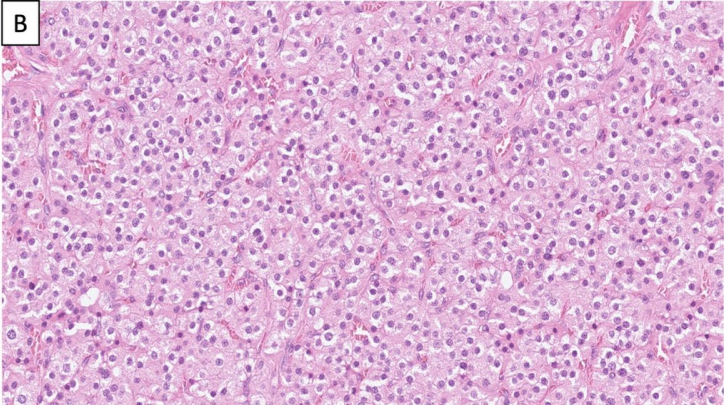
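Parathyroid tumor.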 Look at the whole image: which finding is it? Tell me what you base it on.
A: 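Many nuclei are surrounded by a pale clear halo. The halo separates the nucleus from the pink cytoplasm.
Conclusion: perinuclear clearing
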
